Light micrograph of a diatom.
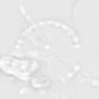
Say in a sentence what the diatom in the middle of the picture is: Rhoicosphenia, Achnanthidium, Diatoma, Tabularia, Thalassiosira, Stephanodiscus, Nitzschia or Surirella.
This is Stephanodiscus.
